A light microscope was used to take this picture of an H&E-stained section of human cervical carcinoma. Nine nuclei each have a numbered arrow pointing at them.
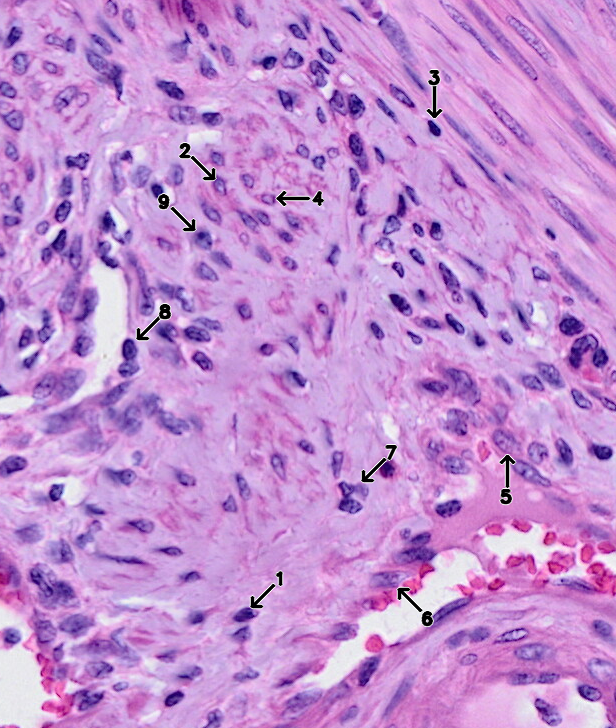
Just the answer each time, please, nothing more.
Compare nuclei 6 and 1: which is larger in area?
6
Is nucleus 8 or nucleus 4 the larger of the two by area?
8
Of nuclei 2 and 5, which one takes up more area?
5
